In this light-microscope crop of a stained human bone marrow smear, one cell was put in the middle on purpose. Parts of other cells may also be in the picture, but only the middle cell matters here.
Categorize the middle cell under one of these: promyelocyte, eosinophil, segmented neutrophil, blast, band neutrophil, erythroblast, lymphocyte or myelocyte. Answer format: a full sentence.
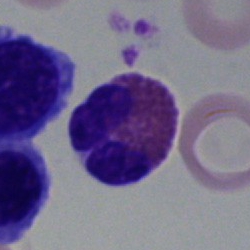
In short, the cell at the center is an eosinophil.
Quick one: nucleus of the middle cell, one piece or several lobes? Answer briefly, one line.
Nuclear material here is separated into two or more segments.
